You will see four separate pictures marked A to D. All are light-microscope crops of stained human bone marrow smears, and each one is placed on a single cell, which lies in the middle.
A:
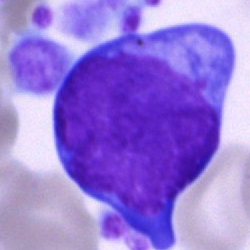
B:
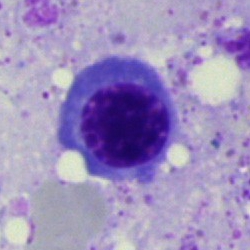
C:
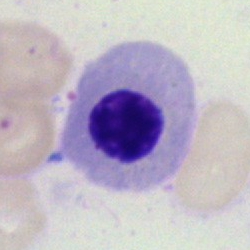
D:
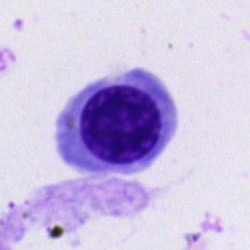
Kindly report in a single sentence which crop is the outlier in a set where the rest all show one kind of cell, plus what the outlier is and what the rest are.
Crop A, showing a blast, is the exception; the others all show erythroblasts.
